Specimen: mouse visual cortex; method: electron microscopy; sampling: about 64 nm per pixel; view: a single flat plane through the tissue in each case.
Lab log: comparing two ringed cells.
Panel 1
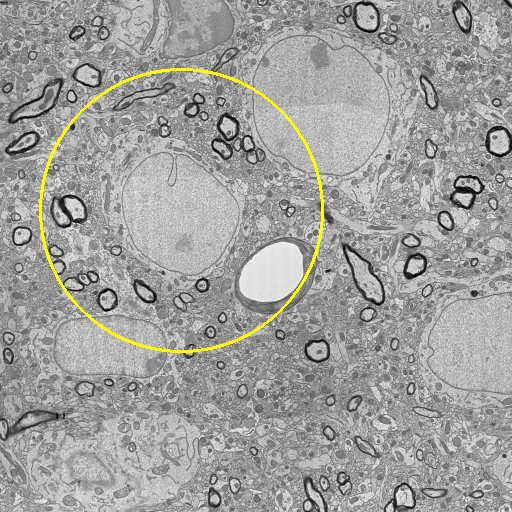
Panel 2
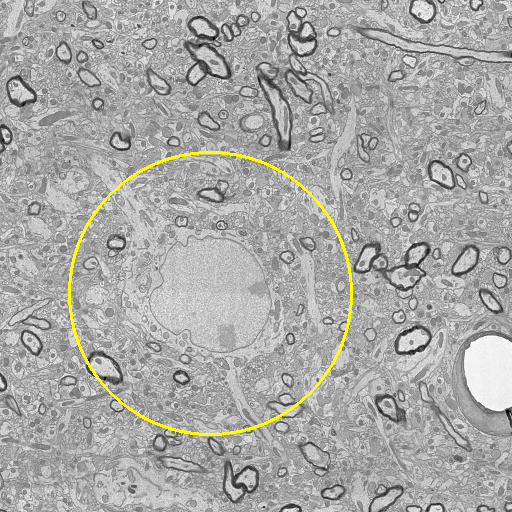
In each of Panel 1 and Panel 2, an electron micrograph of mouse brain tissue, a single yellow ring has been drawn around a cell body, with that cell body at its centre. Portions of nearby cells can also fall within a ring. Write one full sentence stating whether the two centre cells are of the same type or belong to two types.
The cells at the ring centres in Panel 1 and Panel 2 are of the same type.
